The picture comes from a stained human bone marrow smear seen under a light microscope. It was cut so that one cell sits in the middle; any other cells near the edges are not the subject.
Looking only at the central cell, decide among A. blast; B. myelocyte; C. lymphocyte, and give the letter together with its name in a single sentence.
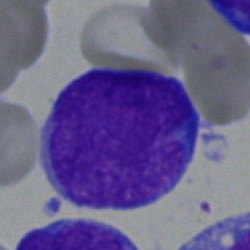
According to option A, which is correct, the cell in the middle is a blast.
